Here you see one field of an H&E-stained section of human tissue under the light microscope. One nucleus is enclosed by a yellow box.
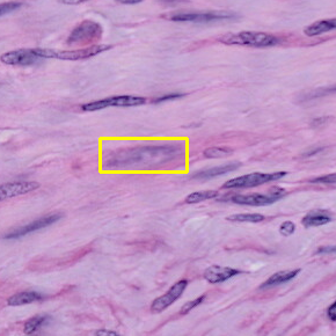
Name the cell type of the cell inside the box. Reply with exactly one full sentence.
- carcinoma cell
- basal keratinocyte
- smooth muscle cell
The classification of the cell inside the box is as a smooth muscle cell.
